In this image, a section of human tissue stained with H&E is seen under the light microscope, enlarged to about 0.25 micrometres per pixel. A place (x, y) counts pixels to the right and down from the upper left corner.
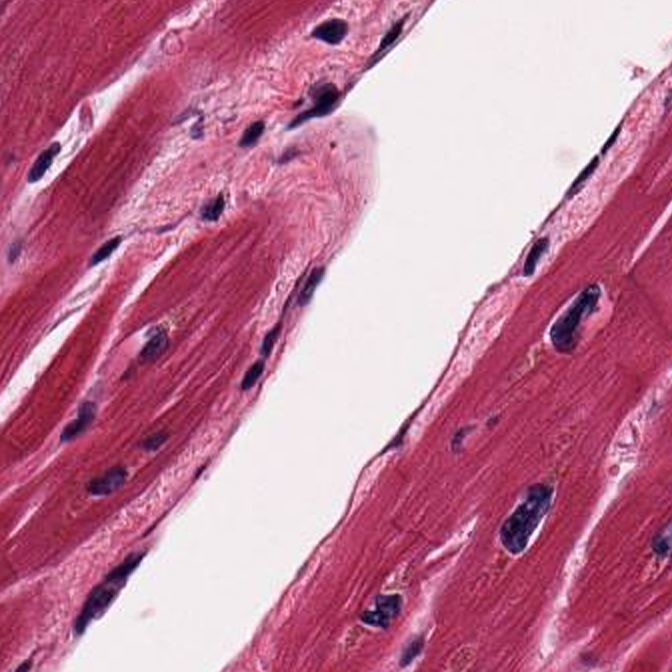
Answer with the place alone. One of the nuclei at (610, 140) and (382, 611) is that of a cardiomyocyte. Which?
(382, 611)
